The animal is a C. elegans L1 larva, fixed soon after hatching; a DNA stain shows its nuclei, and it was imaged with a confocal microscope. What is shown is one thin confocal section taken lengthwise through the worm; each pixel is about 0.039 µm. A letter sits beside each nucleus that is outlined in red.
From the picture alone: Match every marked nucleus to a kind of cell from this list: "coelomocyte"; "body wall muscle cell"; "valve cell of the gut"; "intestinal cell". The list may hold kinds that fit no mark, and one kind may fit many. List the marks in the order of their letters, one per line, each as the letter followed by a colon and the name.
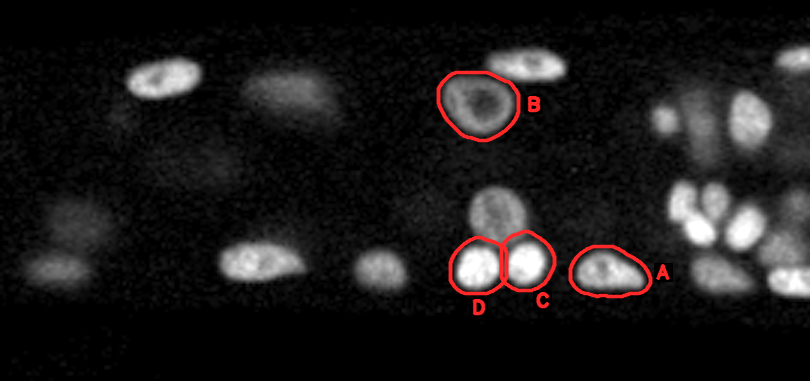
A: body wall muscle cell
B: intestinal cell
C: coelomocyte
D: body wall muscle cell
